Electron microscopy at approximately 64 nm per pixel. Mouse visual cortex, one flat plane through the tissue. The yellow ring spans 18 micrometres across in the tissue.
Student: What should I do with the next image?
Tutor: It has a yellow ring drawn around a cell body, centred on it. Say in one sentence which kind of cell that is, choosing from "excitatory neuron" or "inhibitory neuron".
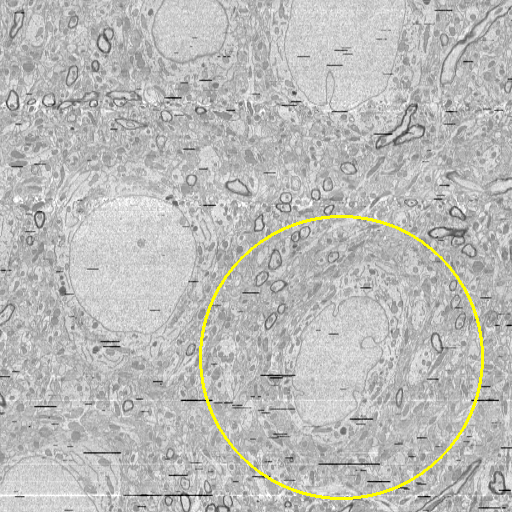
The ring's centre is occupied by an inhibitory neuron.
